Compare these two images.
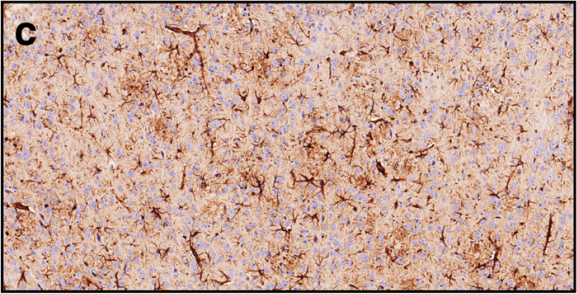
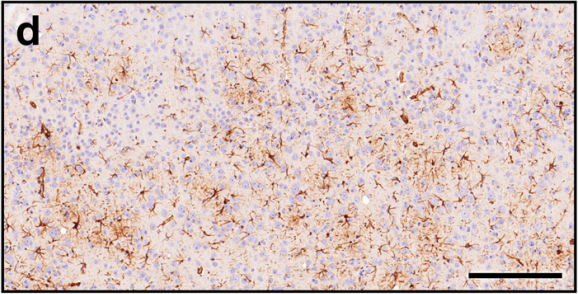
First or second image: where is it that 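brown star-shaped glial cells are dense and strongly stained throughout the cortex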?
the first image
